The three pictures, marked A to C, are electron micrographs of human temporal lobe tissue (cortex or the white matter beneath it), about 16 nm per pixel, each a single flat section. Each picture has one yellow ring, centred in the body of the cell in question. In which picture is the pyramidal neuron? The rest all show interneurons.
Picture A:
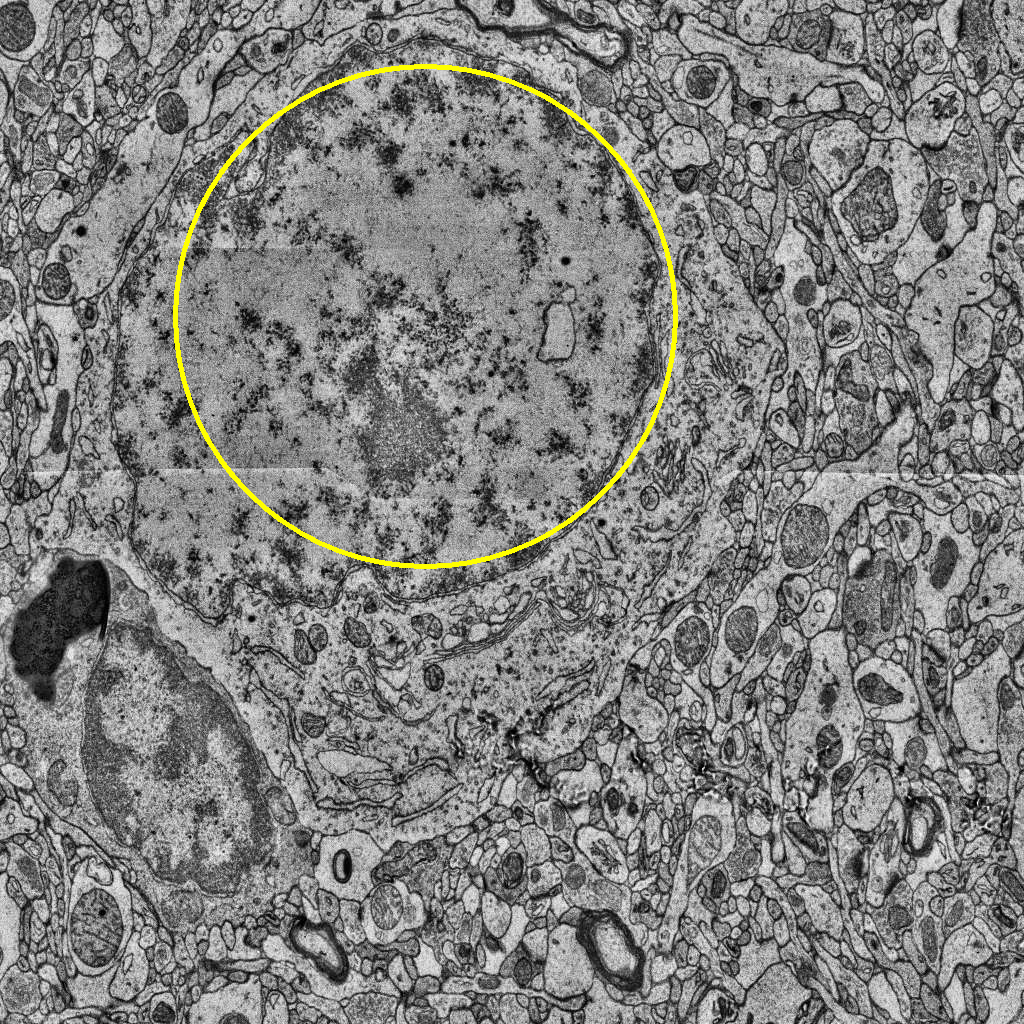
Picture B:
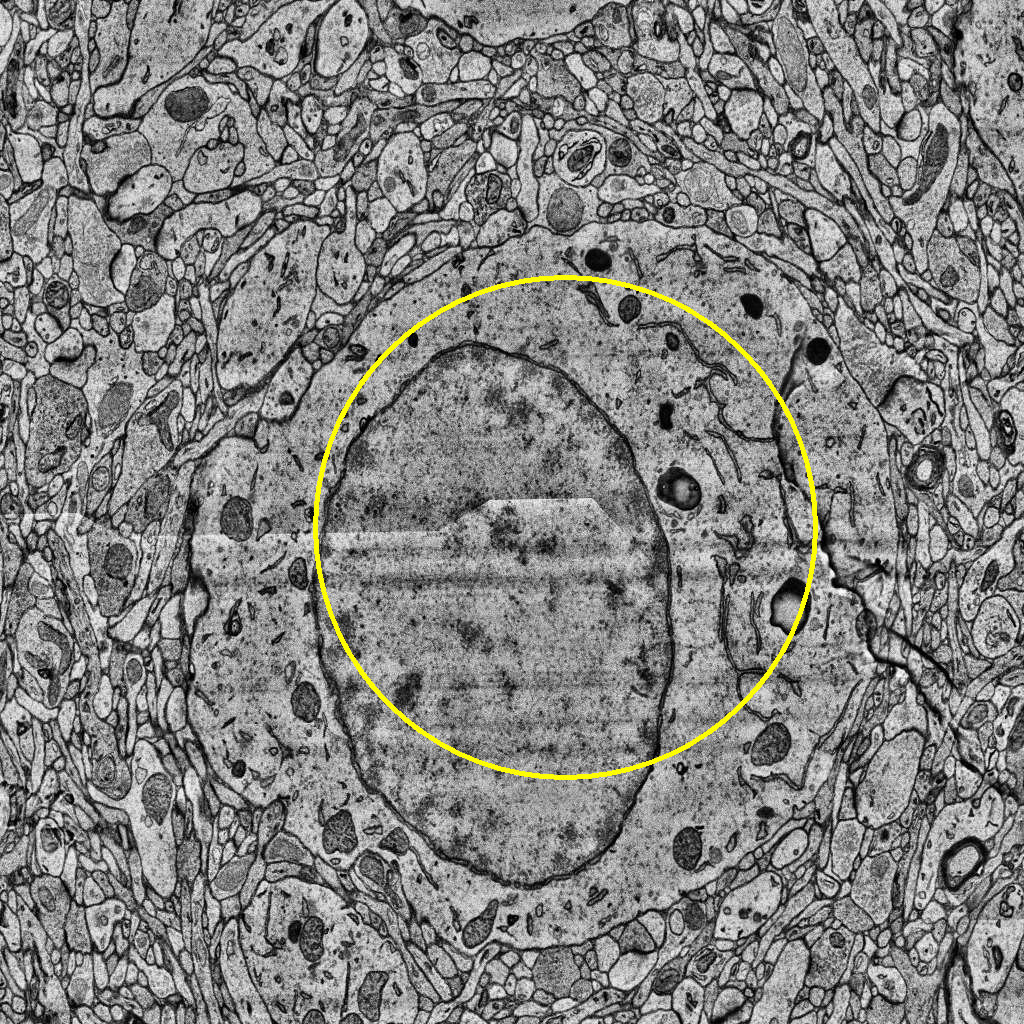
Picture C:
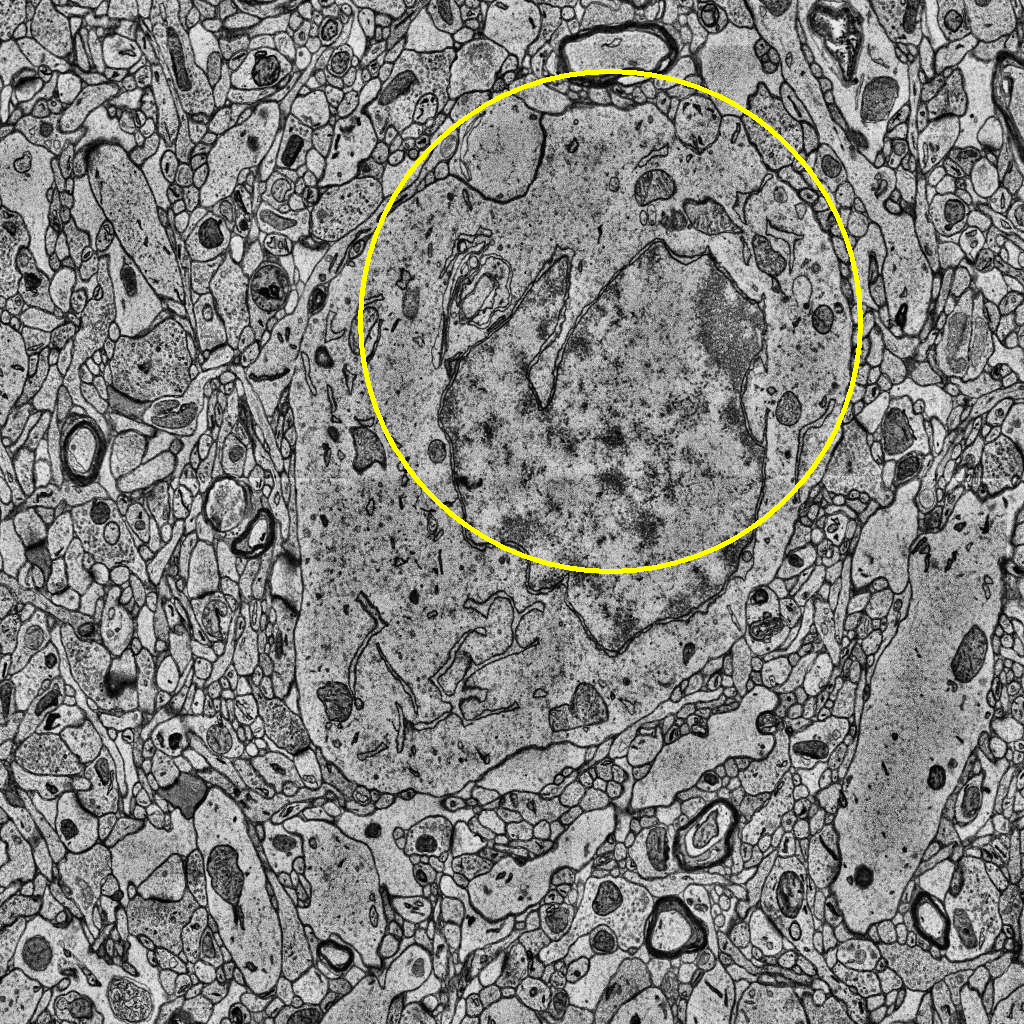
The cell in picture B is the pyramidal neuron.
